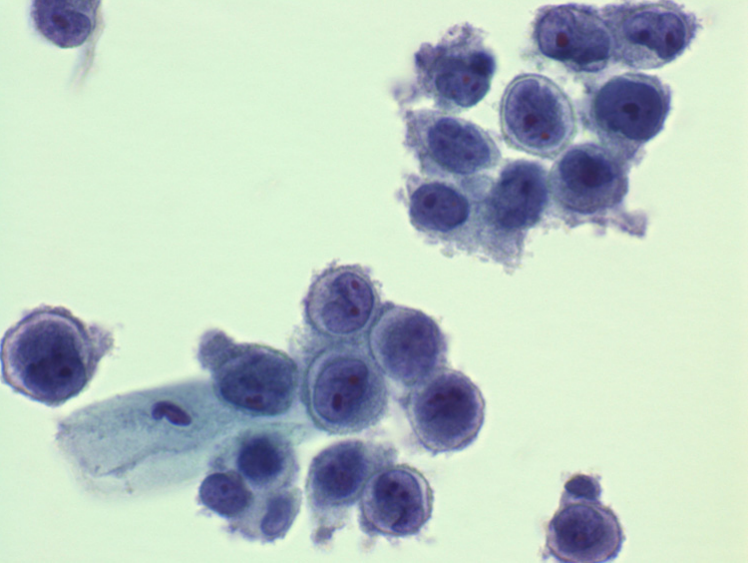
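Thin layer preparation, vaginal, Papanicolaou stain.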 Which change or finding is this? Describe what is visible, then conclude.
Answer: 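Rounded cells lie singly and in loose groups. Nuclei are large and fill much of each cell. Several nuclei show prominent red nucleoli. On this evidence: highly atypical medium sized cells.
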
